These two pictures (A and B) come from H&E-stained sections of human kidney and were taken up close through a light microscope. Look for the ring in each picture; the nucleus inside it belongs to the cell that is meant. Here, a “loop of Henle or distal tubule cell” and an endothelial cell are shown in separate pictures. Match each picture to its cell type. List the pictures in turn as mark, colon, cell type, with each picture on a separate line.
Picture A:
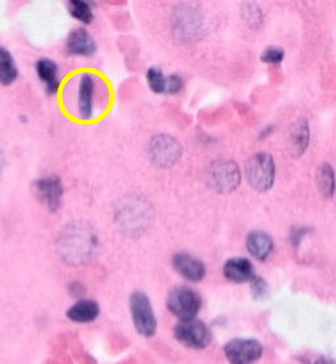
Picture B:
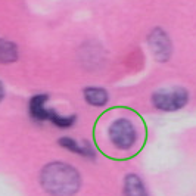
A: endothelial cell
B: loop of Henle or distal tubule cell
